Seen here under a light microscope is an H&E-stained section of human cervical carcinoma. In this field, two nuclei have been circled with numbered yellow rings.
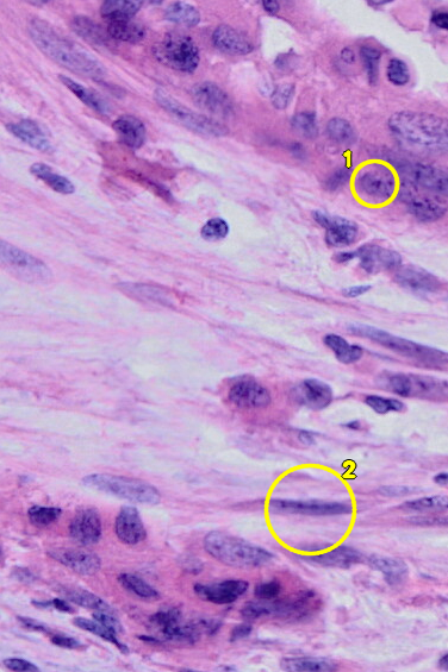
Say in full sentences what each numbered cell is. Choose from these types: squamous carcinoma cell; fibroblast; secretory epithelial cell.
Cell 1 is a squamous carcinoma cell and cell 2 is a fibroblast.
